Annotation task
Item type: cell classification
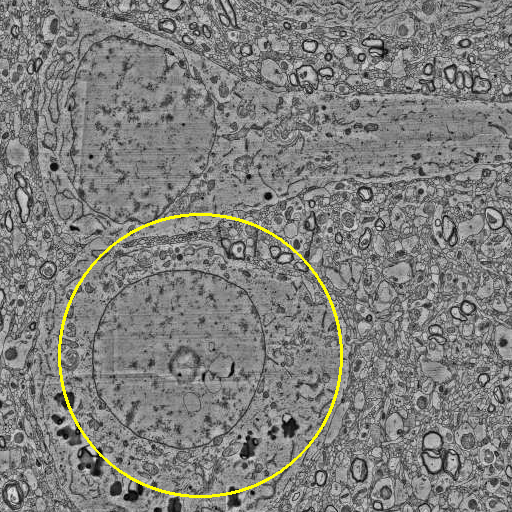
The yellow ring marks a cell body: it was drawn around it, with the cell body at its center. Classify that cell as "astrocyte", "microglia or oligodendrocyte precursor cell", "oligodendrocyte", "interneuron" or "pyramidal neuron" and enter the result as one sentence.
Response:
The ring's center falls on a pyramidal neuron.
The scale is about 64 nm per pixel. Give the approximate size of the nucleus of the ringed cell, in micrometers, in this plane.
In this plane, the nucleus measures approximately 12 micrometres across.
